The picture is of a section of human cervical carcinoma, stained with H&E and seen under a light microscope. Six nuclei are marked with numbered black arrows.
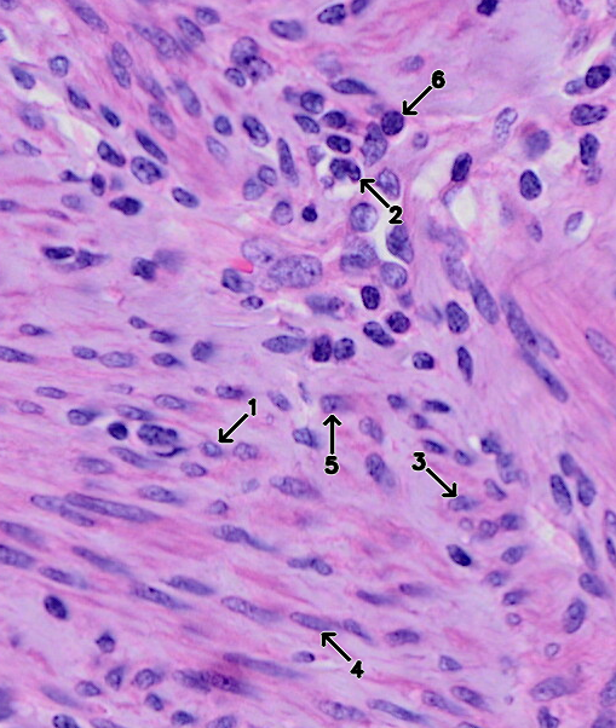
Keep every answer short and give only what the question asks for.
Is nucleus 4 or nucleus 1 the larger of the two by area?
4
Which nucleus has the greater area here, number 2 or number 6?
6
